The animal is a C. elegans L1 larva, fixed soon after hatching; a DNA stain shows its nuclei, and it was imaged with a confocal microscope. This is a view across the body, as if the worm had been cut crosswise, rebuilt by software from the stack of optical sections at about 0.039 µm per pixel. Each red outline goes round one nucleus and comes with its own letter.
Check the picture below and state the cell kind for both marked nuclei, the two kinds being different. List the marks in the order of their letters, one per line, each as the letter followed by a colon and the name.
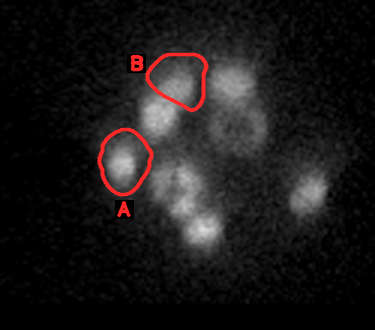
A: neuron
B: P cell (ventral epidermal blast cell)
